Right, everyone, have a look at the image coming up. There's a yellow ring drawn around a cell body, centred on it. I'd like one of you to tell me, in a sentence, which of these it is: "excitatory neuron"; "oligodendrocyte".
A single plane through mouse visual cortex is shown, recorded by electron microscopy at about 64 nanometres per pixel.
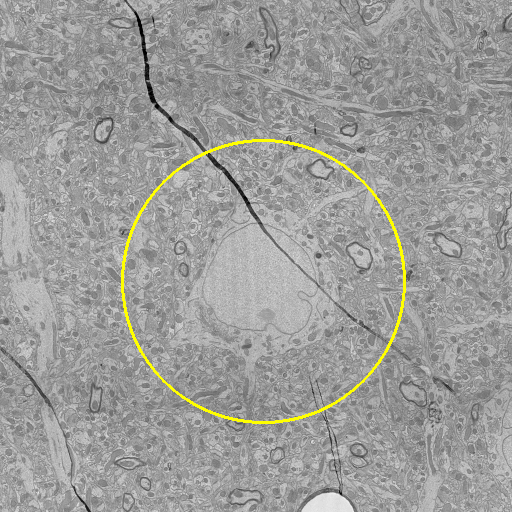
The yellow ring sits on an excitatory neuron.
